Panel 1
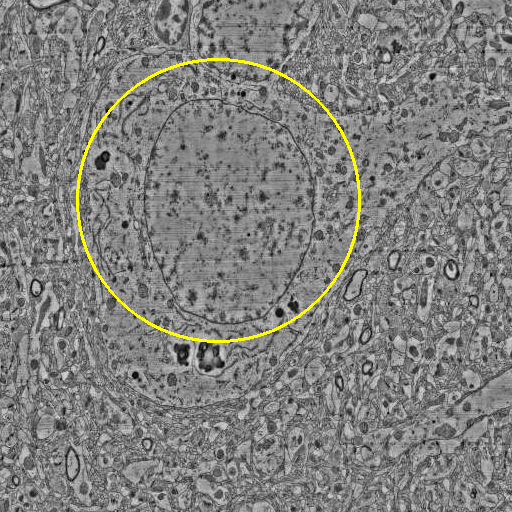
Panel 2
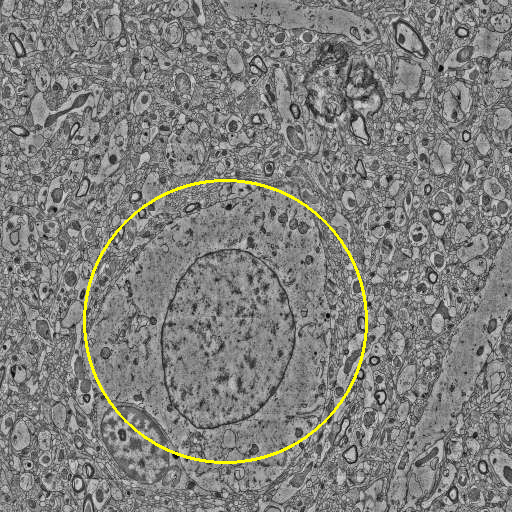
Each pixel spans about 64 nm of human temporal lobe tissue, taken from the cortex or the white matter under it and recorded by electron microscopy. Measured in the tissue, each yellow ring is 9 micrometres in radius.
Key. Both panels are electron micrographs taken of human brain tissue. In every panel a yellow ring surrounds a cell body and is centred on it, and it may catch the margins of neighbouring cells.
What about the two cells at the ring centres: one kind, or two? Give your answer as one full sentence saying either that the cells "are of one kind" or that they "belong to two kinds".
Across Panels 1 and 2, the two cells at the ring centres are of one kind.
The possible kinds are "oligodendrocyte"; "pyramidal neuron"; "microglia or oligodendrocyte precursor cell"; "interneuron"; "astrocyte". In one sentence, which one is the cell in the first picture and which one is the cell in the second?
In the first picture and in the second, the ring is centred on a pyramidal neuron.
